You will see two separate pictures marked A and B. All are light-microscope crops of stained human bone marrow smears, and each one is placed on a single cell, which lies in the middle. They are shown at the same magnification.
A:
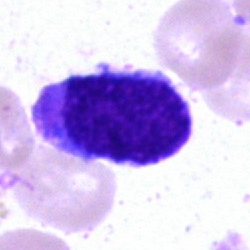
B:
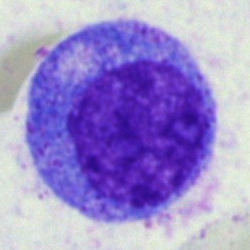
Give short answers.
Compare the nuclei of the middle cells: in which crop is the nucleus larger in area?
B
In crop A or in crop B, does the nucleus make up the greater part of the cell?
A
